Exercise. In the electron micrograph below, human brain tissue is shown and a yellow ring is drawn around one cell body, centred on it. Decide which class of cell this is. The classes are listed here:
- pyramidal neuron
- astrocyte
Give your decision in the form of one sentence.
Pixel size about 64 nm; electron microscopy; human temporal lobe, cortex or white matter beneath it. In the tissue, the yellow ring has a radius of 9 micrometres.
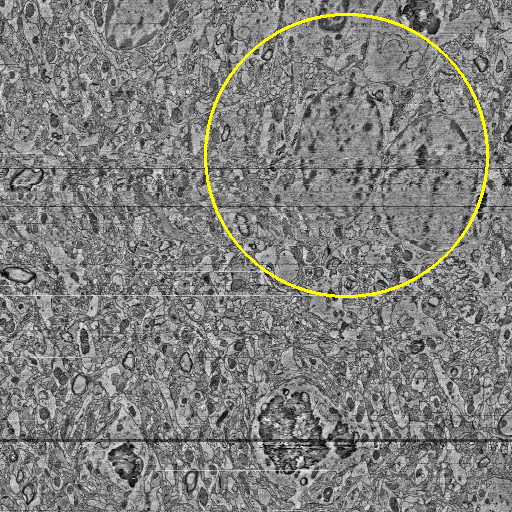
The cell body marked by the ring belongs to an astrocyte.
